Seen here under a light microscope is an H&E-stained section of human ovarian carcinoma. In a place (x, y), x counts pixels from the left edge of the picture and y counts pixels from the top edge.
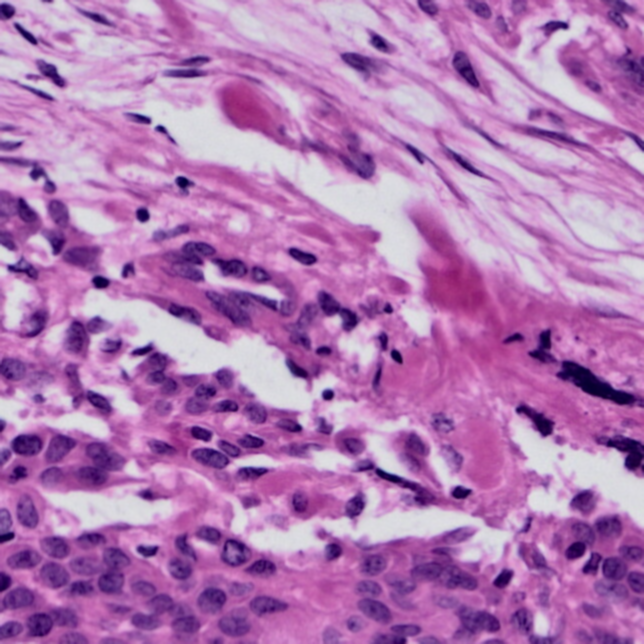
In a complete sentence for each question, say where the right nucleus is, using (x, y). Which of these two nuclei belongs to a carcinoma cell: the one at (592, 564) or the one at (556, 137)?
That would be the nucleus at (592, 564); it belongs to a carcinoma cell.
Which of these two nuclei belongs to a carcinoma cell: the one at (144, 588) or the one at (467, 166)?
The pair contains one nucleus of a carcinoma cell, namely the one at (144, 588).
